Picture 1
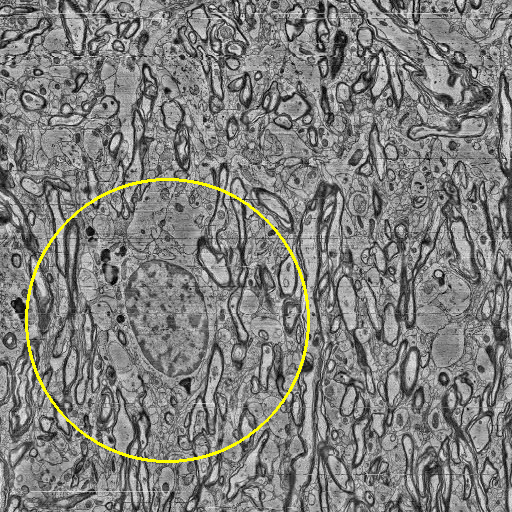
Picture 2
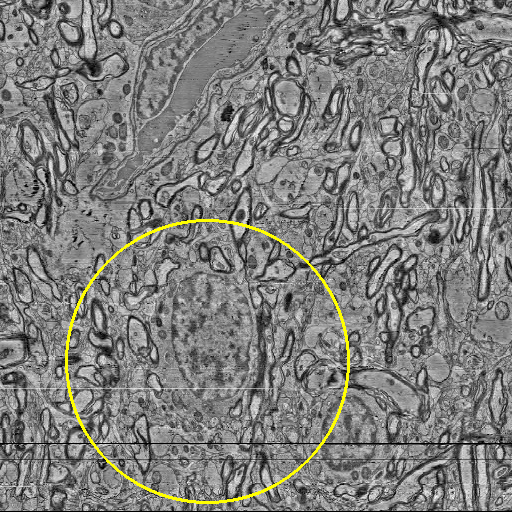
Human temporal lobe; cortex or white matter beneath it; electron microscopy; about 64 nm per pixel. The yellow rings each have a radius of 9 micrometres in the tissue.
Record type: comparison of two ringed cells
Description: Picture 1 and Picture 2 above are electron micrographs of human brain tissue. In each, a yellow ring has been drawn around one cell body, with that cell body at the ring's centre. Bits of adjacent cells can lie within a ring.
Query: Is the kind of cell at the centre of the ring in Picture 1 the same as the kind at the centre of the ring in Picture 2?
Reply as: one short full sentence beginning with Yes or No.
No, the two ringed cells are of two separate kinds.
